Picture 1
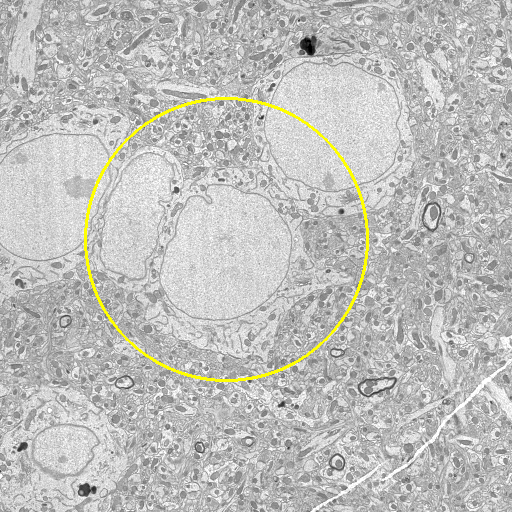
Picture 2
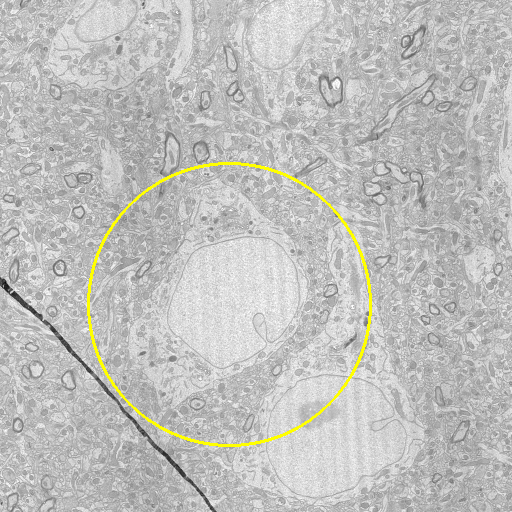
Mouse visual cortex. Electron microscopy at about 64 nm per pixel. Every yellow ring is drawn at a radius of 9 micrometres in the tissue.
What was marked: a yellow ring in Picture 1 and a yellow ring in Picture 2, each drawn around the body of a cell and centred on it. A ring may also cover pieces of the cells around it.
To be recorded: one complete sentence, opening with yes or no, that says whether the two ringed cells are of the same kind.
Yes, the two ringed cells are of the same kind.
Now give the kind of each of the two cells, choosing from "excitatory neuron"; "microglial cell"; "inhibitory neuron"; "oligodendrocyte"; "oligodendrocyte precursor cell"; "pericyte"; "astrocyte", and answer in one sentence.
The second cell is an excitatory neuron, just as the first is.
